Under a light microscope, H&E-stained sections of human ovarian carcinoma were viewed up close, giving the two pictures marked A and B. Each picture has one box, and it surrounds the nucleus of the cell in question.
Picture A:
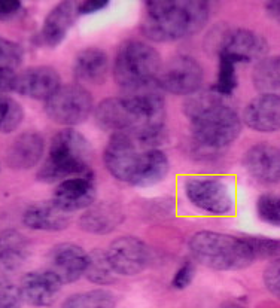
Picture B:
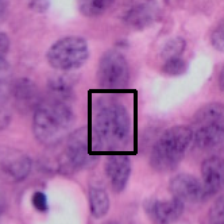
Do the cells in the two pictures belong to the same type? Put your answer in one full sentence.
No, the types are not the same, since picture A shows a “macrophage or monocyte” and picture B a carcinoma cell.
